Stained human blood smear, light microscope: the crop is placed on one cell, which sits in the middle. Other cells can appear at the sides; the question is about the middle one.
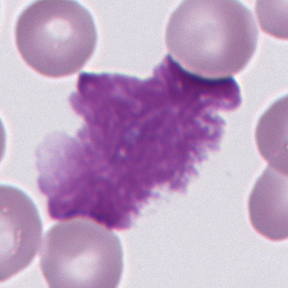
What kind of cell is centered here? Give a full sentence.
The middle of this crop holds a smudge cell.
